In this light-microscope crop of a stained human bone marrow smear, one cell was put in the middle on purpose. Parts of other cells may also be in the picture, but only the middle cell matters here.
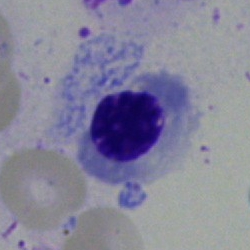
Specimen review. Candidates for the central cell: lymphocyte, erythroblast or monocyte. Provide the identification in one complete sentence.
The cell marked by its central position in the crop is an erythroblast.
